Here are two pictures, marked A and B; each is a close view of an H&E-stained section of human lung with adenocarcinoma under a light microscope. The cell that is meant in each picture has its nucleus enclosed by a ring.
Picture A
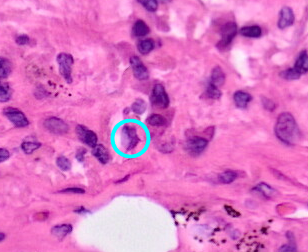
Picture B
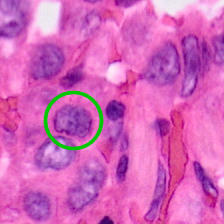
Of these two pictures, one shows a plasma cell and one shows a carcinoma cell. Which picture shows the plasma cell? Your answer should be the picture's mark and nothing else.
A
